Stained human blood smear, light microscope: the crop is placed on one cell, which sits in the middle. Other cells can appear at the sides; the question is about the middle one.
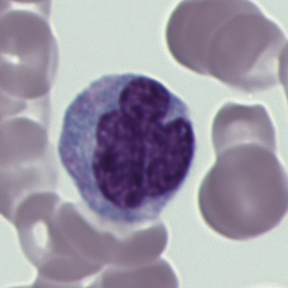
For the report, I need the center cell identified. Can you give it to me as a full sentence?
The cell around which this crop is centred is a monocyte.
